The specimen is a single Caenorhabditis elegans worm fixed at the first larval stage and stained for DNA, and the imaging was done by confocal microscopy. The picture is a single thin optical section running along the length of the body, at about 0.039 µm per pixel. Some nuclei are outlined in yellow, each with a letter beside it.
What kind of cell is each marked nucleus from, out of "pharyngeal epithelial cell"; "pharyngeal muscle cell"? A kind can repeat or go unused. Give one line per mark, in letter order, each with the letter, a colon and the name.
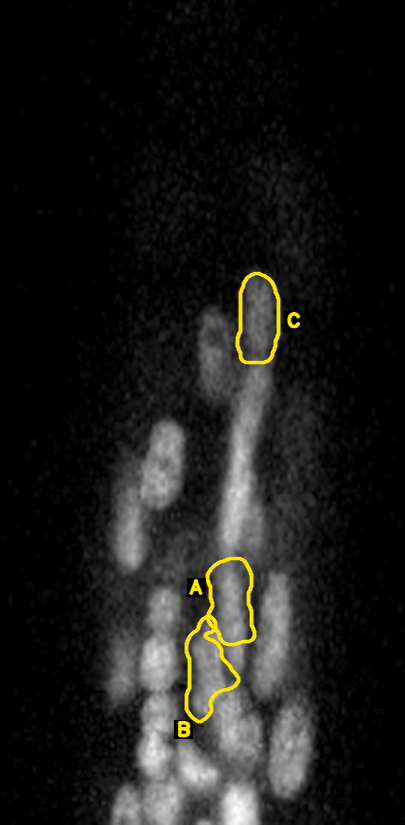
A: pharyngeal epithelial cell
B: pharyngeal muscle cell
C: pharyngeal epithelial cell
